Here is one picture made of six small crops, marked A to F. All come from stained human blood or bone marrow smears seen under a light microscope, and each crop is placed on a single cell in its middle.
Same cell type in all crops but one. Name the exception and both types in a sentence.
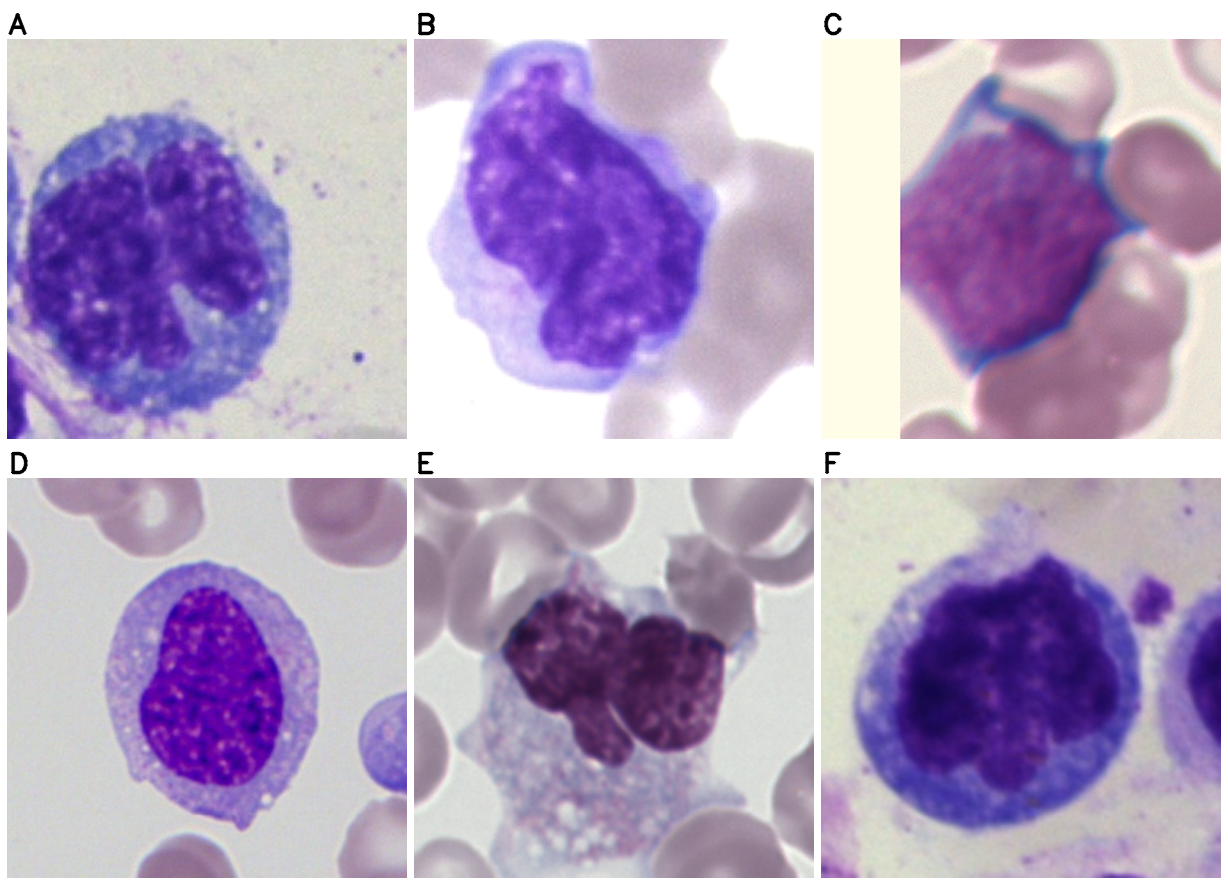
Crop C shows a blast, while all of the others show monocytes.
